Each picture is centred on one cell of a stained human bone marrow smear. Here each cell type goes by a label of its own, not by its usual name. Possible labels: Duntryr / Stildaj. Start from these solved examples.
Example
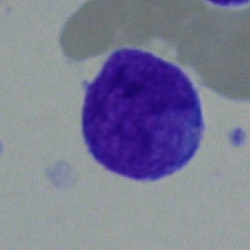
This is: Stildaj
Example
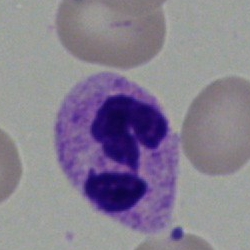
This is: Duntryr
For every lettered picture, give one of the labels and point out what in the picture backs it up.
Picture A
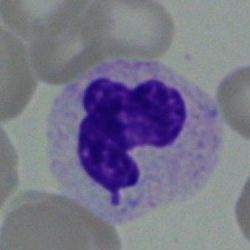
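Duntryr. Evidence: The cytoplasm is abundant and pale lilac-pink.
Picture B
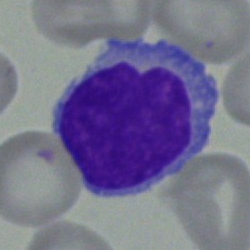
Stildaj. Evidence: The nucleus fills most of the cell and sits off-centre toward the lower left.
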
